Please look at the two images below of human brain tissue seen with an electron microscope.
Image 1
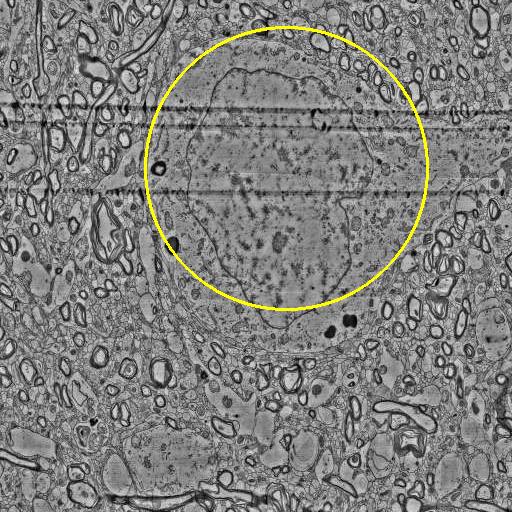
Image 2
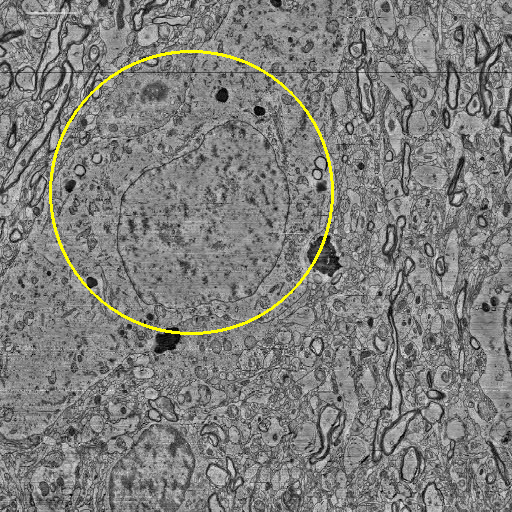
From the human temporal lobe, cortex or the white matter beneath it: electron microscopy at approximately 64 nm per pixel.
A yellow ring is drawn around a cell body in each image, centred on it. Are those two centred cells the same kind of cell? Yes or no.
yes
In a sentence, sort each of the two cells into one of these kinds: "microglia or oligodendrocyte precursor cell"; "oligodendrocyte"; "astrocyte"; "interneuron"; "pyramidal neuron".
The ring centre holds a pyramidal neuron in each of the two pictures.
